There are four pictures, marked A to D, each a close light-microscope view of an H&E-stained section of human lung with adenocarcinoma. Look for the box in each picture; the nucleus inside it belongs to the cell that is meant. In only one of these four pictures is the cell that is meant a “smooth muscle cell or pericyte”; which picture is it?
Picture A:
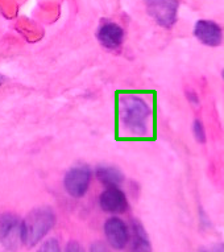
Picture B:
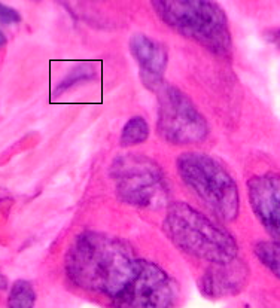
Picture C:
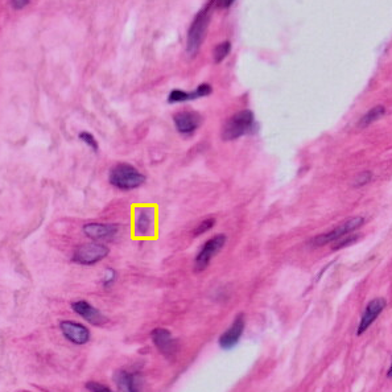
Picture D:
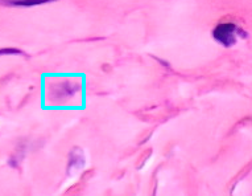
C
